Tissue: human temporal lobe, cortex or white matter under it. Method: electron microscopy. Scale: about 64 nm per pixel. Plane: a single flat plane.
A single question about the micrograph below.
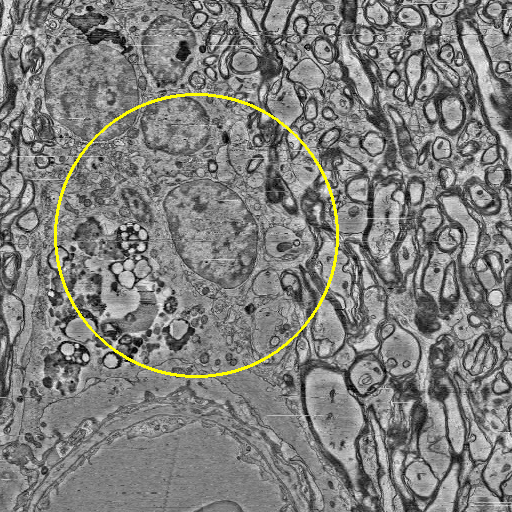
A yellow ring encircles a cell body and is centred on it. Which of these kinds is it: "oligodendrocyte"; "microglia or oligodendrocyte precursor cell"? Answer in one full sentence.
The cell body at the centre of the yellow ring belongs to a microglial cell or oligodendrocyte precursor cell.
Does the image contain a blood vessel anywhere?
Yes.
